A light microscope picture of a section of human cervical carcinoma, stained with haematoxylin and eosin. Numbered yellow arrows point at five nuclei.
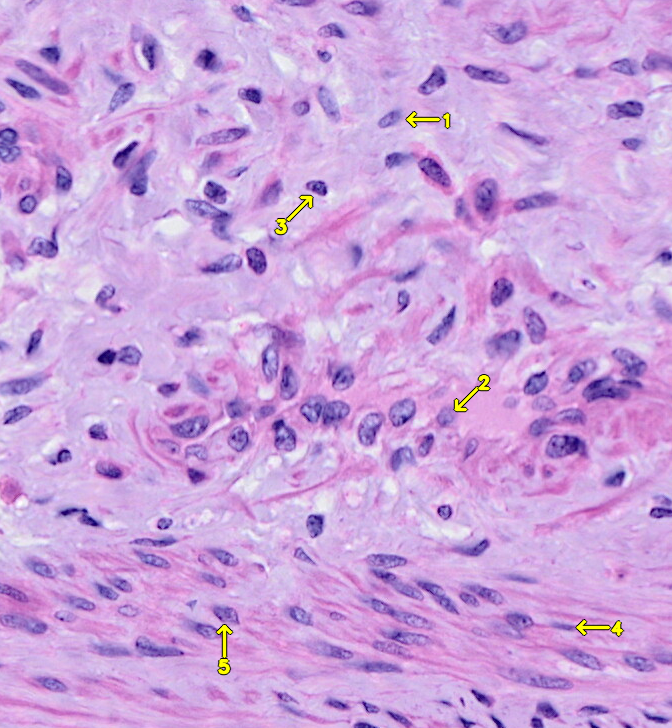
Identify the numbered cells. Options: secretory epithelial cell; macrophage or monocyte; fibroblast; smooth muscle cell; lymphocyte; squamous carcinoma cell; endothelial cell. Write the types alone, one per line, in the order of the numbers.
fibroblast
endothelial cell
lymphocyte
smooth muscle cell
smooth muscle cell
